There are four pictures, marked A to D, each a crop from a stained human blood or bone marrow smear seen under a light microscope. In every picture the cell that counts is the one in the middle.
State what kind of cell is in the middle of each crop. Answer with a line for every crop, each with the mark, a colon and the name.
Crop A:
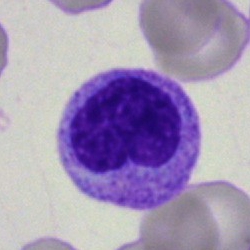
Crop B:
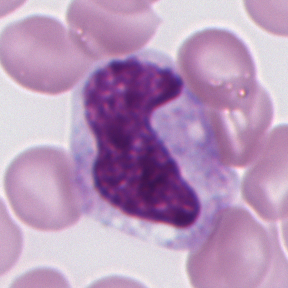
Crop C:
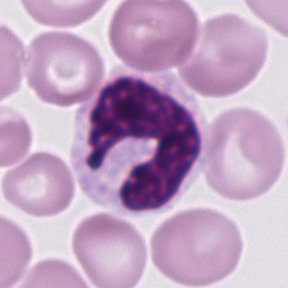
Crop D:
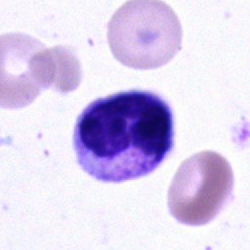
A: metamyelocyte
B: band neutrophil
C: band neutrophil
D: segmented neutrophil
